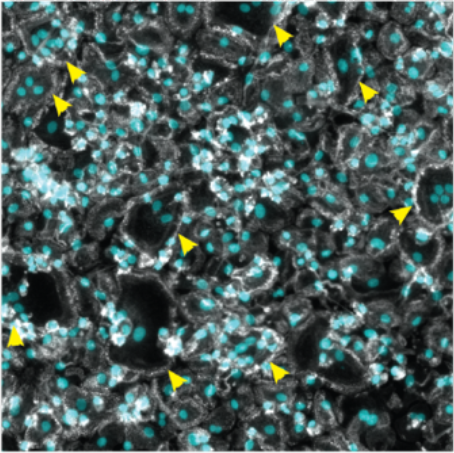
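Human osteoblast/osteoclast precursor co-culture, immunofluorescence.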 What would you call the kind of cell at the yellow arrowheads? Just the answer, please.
syncytia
